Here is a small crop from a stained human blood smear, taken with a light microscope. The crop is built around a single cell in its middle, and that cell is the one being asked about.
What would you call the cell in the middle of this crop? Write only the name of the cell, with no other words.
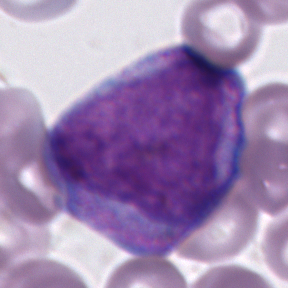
promyelocyte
